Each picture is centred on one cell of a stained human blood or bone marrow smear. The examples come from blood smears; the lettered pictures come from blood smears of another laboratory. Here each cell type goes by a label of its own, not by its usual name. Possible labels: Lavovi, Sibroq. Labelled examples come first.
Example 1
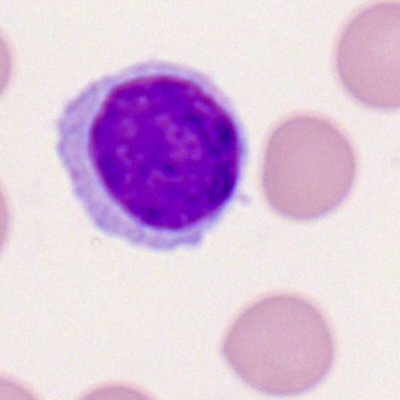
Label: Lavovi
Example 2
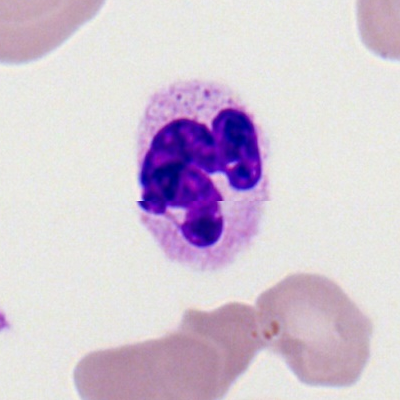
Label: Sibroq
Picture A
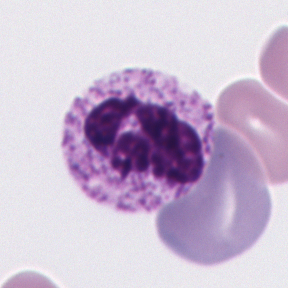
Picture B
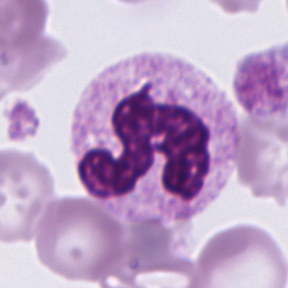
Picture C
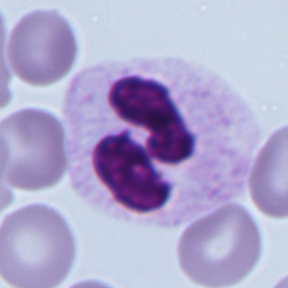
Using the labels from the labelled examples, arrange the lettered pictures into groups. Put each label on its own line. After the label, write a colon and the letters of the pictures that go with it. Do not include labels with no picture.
Sibroq: A, B, C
